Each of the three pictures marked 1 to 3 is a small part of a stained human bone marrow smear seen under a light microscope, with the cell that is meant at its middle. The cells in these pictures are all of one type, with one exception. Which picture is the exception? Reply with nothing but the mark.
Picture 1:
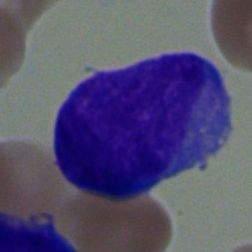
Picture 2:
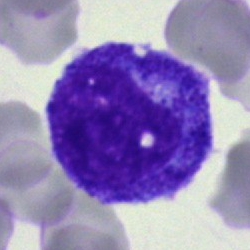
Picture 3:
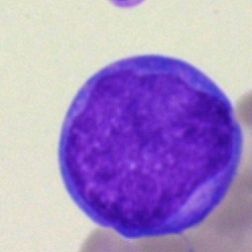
2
